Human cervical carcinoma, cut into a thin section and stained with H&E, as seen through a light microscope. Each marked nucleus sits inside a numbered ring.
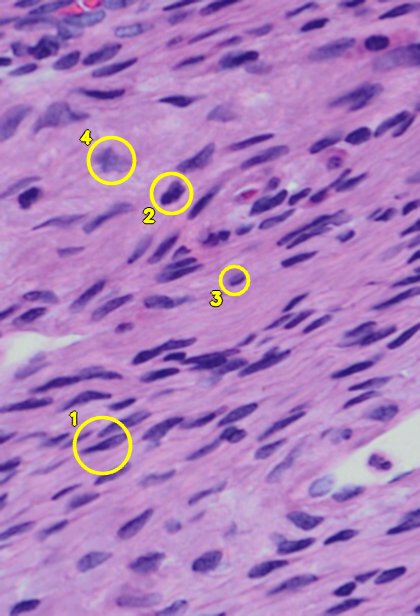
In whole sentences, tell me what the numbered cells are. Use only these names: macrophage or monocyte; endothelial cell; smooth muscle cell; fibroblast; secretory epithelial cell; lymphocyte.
Cells 1, 3 and 4 are fibroblasts. Cell 2 is a lymphocyte.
